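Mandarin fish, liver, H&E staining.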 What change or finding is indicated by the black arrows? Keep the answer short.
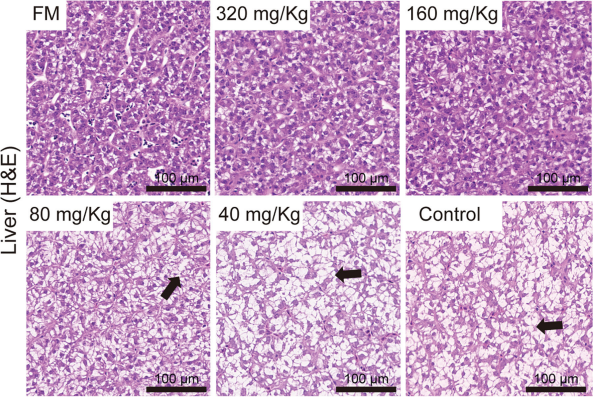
cell vacuolization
